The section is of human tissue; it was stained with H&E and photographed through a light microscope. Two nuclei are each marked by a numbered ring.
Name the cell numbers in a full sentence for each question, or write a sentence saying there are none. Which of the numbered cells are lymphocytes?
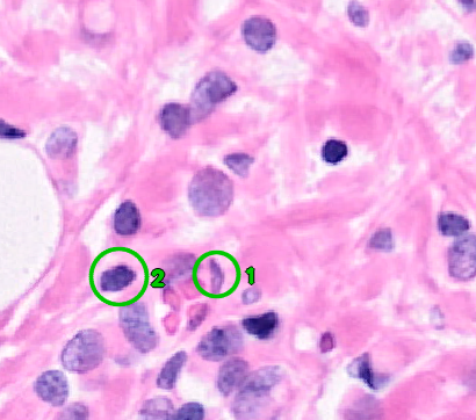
Cell 2 is a lymphocyte, and it is the only one.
